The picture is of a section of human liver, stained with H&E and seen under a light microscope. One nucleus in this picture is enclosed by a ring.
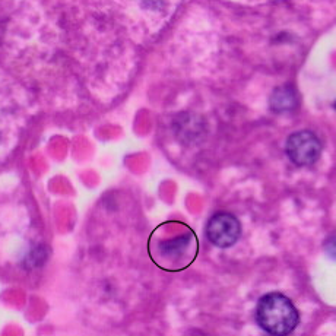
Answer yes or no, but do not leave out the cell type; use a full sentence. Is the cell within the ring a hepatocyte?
No, mate, the cell within the ring is an endothelial cell rather than a hepatocyte.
